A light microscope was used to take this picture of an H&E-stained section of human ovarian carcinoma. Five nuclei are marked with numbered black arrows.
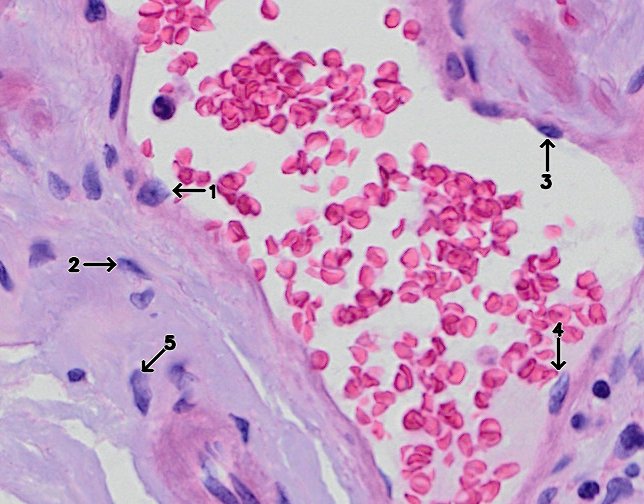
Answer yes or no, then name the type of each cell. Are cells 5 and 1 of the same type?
No, cell 5 is a fibroblast and cell 1 is an endothelial cell.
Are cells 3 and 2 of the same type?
No, cell 3 is an endothelial cell and cell 2 is a fibroblast.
